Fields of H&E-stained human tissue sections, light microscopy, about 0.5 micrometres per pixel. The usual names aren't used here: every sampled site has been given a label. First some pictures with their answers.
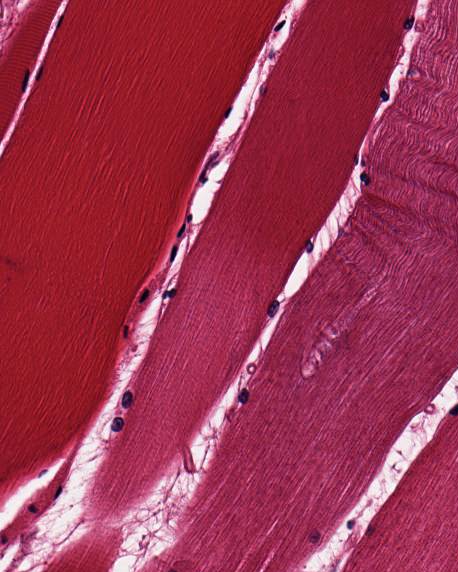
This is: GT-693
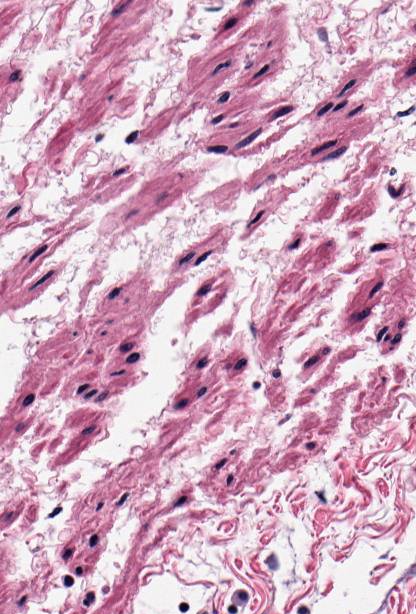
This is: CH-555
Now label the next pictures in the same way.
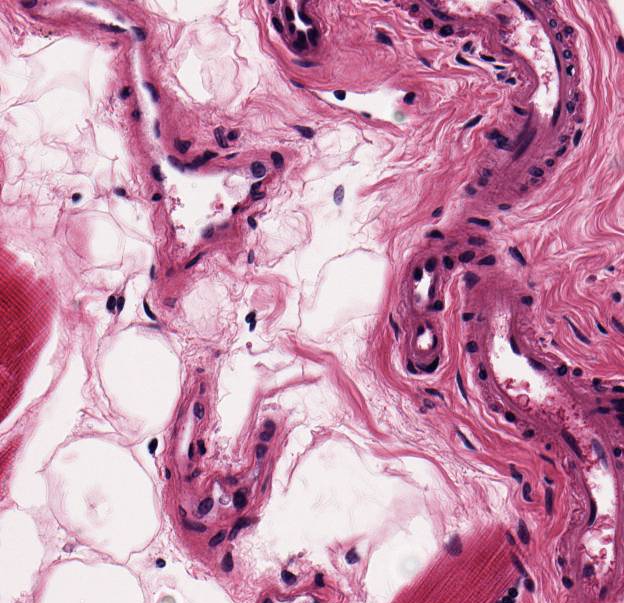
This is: GT-693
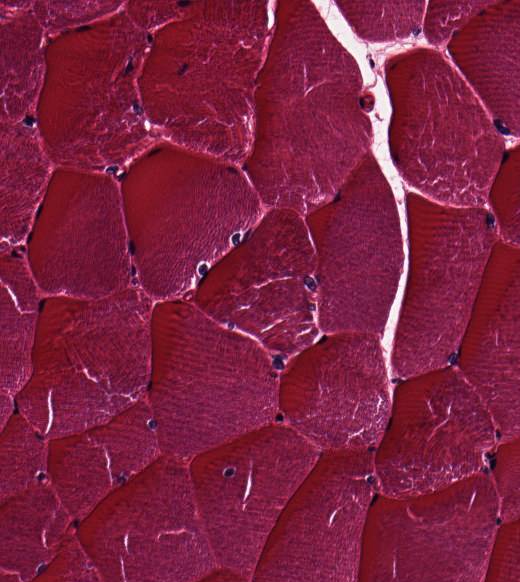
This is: GT-693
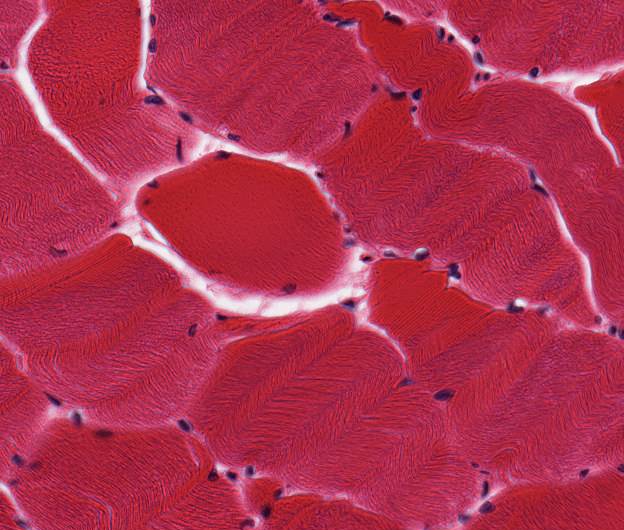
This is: GT-693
